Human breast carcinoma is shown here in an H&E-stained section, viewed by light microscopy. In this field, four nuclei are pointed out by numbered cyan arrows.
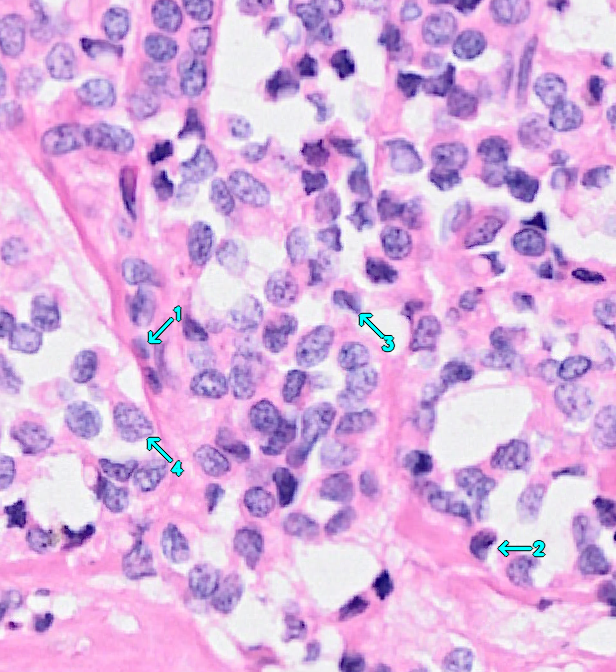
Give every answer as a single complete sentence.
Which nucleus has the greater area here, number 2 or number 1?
The larger nucleus is 2, at roughly 1.5 times the area of 1.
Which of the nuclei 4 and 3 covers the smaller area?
Number 3 is smaller, since number 4 takes up about 2 times as much area.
